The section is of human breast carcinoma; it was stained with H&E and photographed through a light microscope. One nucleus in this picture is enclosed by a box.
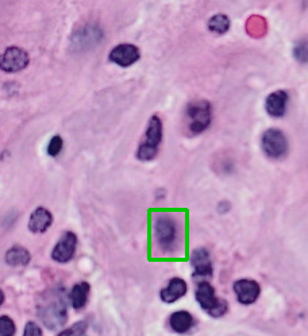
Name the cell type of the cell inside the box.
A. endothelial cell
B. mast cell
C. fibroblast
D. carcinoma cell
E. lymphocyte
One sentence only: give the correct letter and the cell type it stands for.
The proper choice here is B: the cell inside the box is a mast cell.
